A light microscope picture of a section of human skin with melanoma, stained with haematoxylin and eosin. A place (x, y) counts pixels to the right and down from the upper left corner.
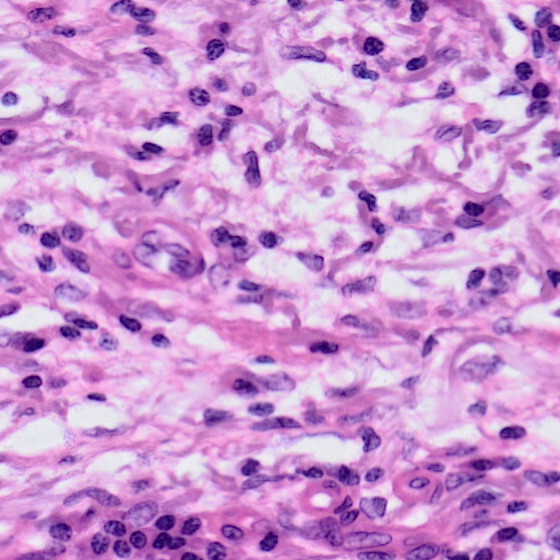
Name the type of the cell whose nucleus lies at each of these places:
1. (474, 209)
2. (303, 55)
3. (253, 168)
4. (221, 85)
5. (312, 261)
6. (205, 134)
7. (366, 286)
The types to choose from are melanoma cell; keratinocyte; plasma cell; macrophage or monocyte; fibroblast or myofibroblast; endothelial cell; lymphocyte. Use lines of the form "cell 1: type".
cell 1: plasma cell
cell 2: fibroblast or myofibroblast
cell 3: macrophage or monocyte
cell 4: plasma cell
cell 5: fibroblast or myofibroblast
cell 6: plasma cell
cell 7: macrophage or monocyte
